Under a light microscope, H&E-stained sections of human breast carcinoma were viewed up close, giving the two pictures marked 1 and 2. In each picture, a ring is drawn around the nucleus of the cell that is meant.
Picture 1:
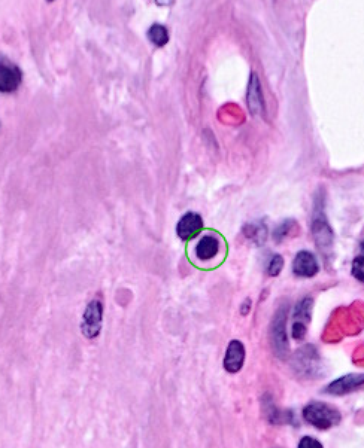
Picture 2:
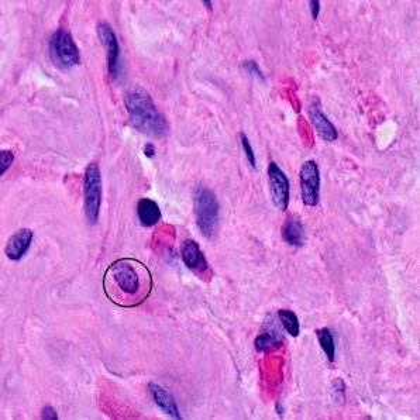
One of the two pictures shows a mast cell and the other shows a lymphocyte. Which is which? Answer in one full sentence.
The cell in picture 1 is a lymphocyte, and the one in picture 2 is a mast cell.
